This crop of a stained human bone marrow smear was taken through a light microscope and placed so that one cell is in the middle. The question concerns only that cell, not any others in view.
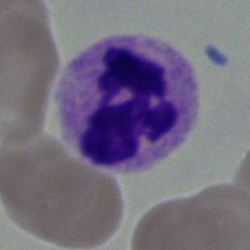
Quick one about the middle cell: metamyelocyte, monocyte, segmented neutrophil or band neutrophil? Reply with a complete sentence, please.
The cell at the middle of the crop is recognized as a segmented neutrophil.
